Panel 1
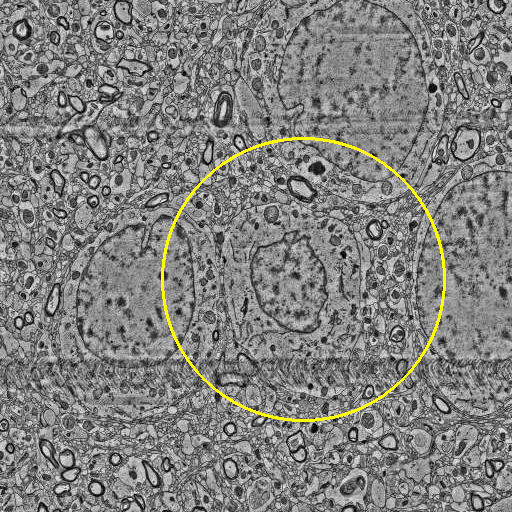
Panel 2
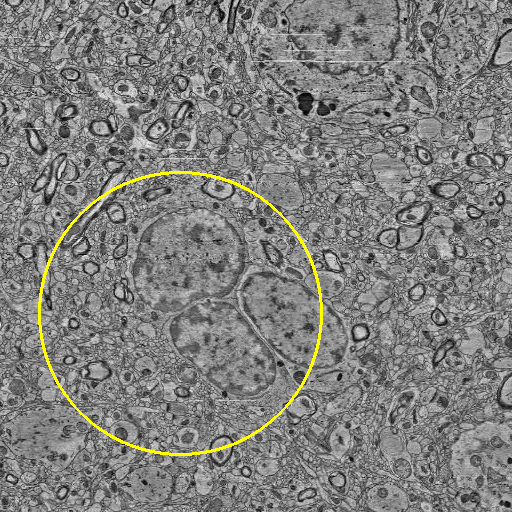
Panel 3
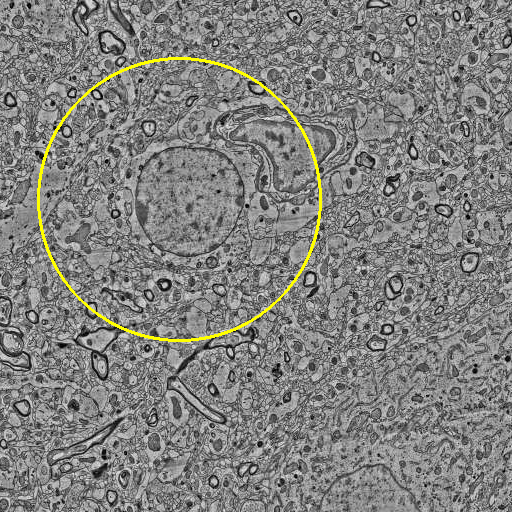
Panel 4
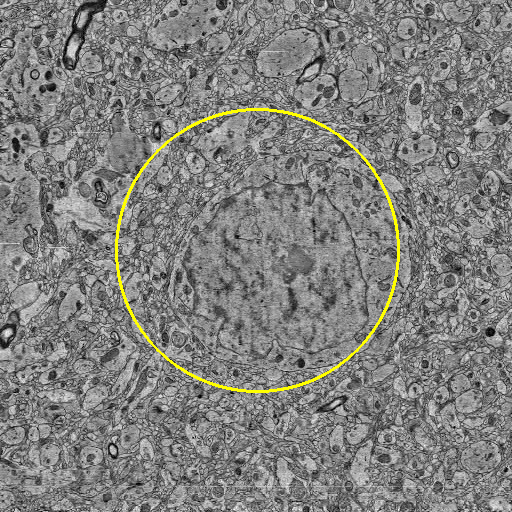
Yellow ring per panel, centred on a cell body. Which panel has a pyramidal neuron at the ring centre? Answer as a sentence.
Panel 1 shows it at the ring centre.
